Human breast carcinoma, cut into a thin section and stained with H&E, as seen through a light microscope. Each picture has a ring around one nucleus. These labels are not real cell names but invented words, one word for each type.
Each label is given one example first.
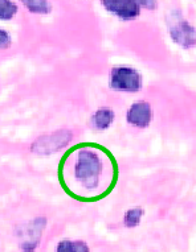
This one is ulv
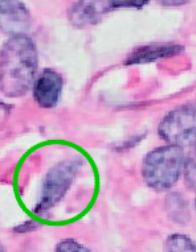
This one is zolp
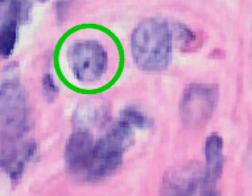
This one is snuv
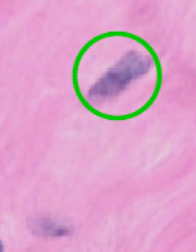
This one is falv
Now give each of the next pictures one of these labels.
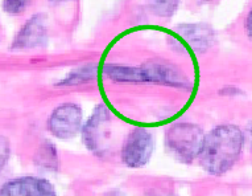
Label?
zolp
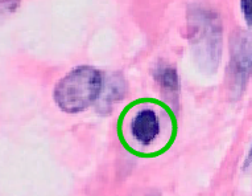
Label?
ulv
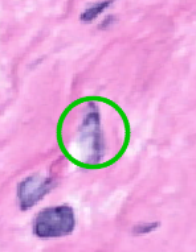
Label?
zolp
